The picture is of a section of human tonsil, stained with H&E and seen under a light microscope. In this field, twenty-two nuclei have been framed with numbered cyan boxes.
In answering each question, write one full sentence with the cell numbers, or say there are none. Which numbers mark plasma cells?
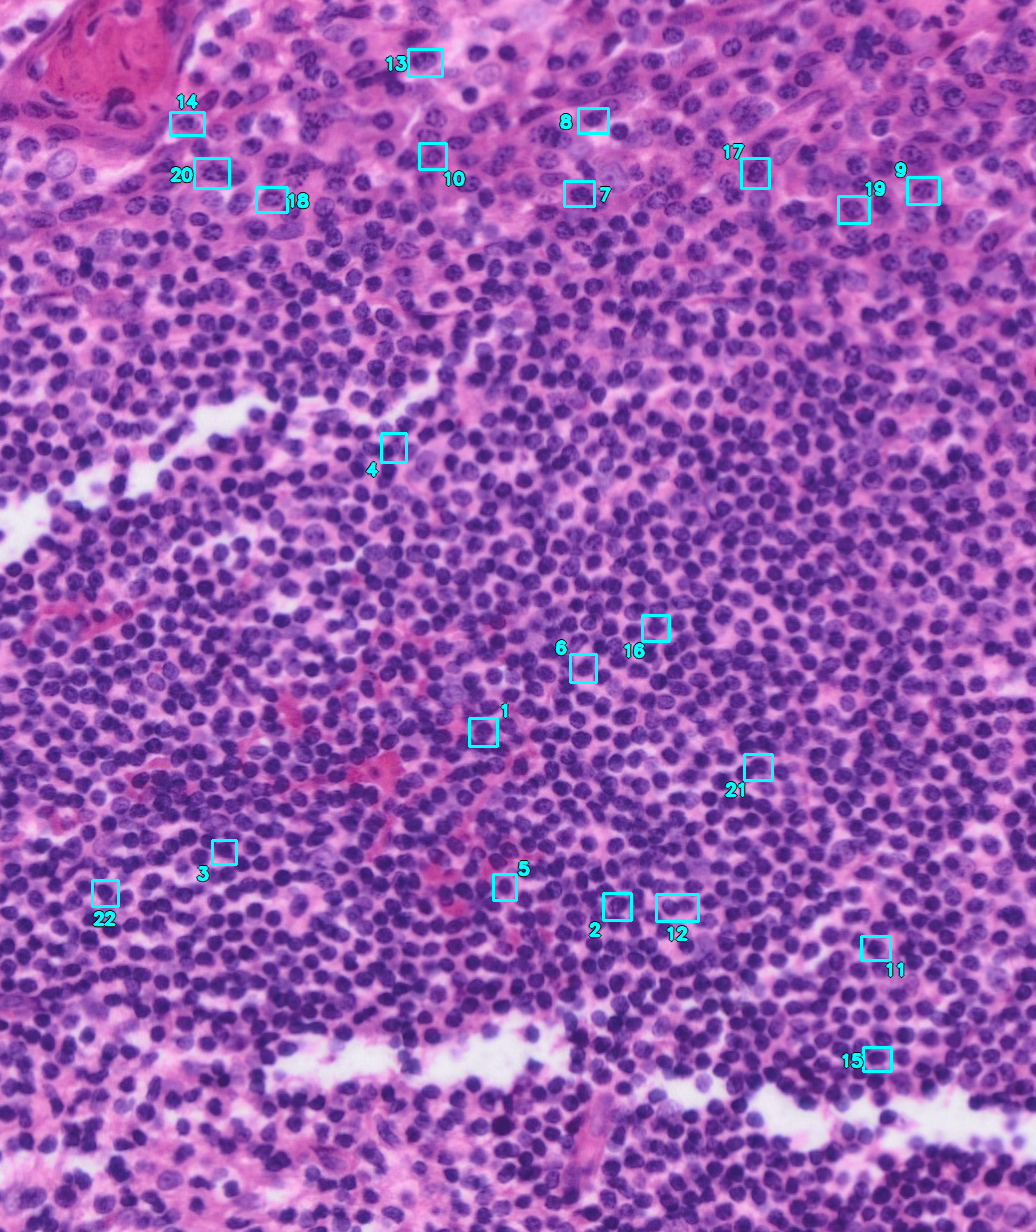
As for the cells numbered 7, 8, 9, 10, 13, 14, 17, 18, 19 and 20, they are plasma cells.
